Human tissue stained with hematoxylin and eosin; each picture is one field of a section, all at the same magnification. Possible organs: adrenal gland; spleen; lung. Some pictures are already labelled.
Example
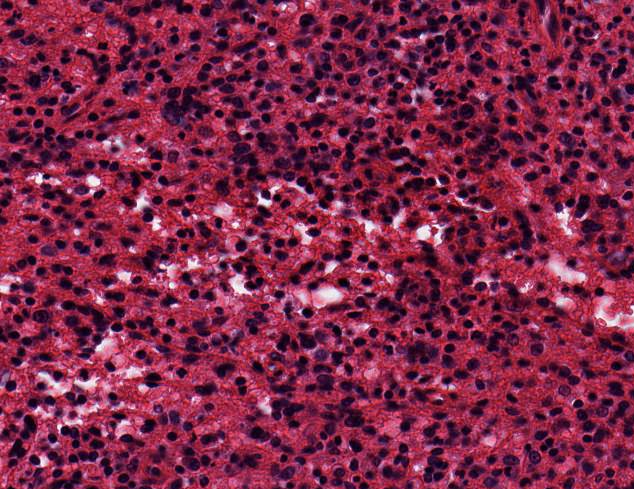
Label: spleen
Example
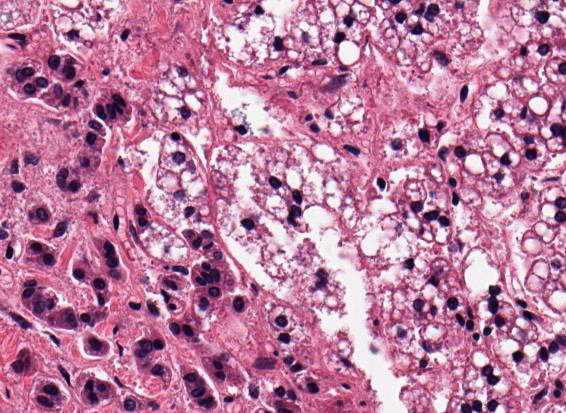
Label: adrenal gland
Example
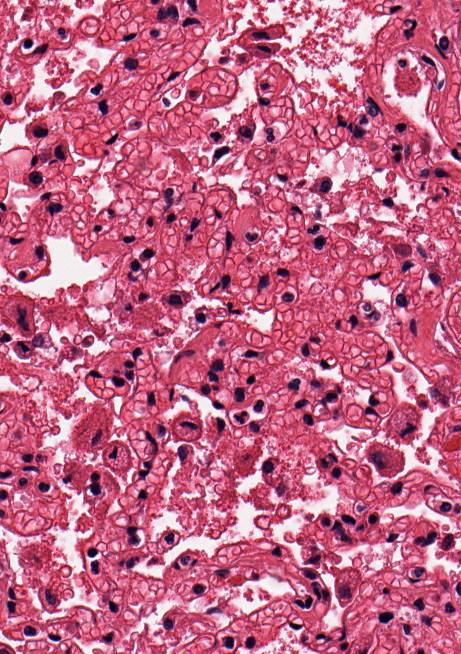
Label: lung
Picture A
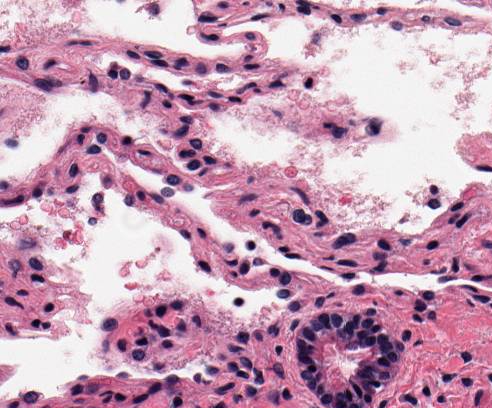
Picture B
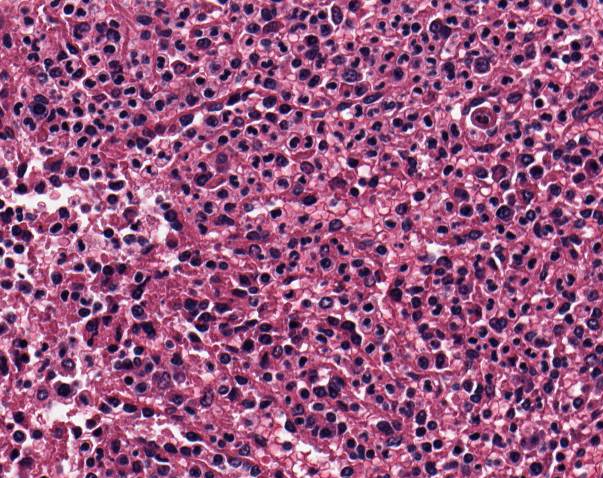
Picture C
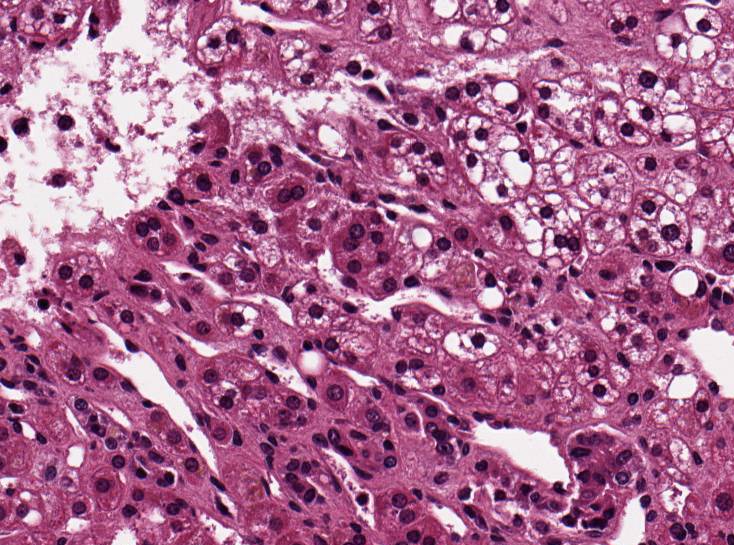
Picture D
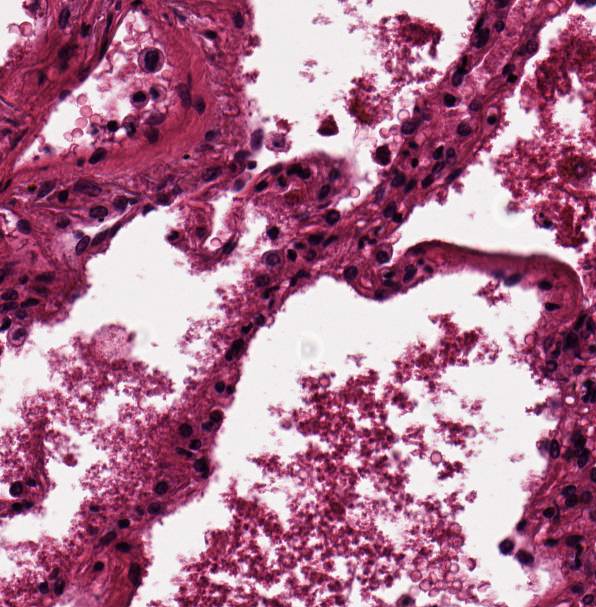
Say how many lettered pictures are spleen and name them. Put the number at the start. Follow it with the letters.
1, namely B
